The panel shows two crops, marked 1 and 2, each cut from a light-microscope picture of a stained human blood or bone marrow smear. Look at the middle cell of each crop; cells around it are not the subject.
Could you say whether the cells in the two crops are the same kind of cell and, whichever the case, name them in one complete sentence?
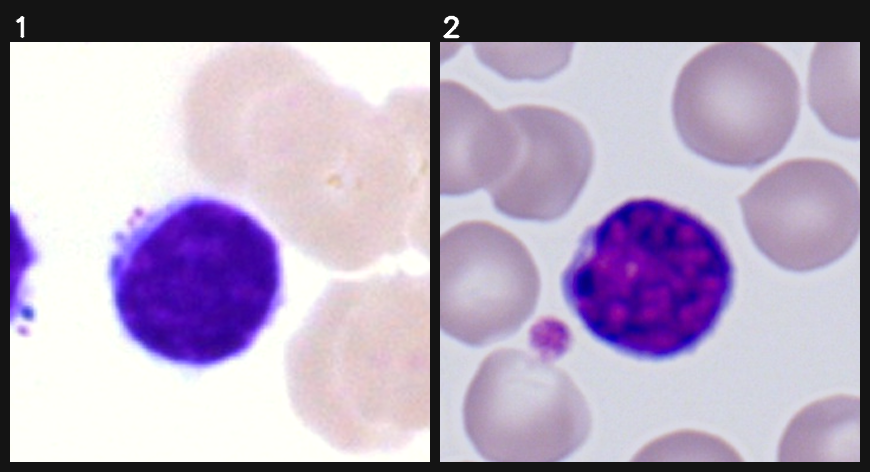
Yes, the central cells, in both crops, are lymphocytes.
